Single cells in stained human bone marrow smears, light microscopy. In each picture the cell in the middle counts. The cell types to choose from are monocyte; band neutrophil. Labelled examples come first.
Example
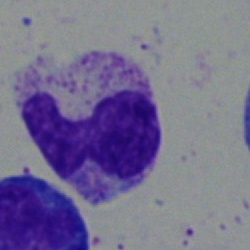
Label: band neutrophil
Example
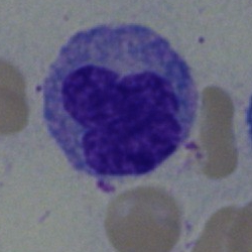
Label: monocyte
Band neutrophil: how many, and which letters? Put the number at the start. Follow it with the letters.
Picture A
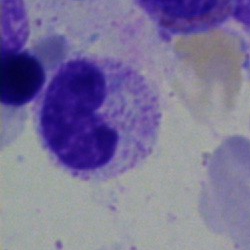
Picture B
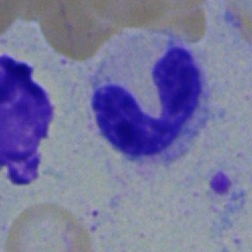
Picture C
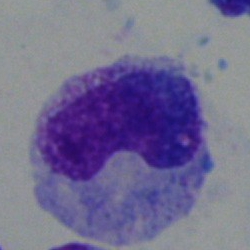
Count: 2 (A, B)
